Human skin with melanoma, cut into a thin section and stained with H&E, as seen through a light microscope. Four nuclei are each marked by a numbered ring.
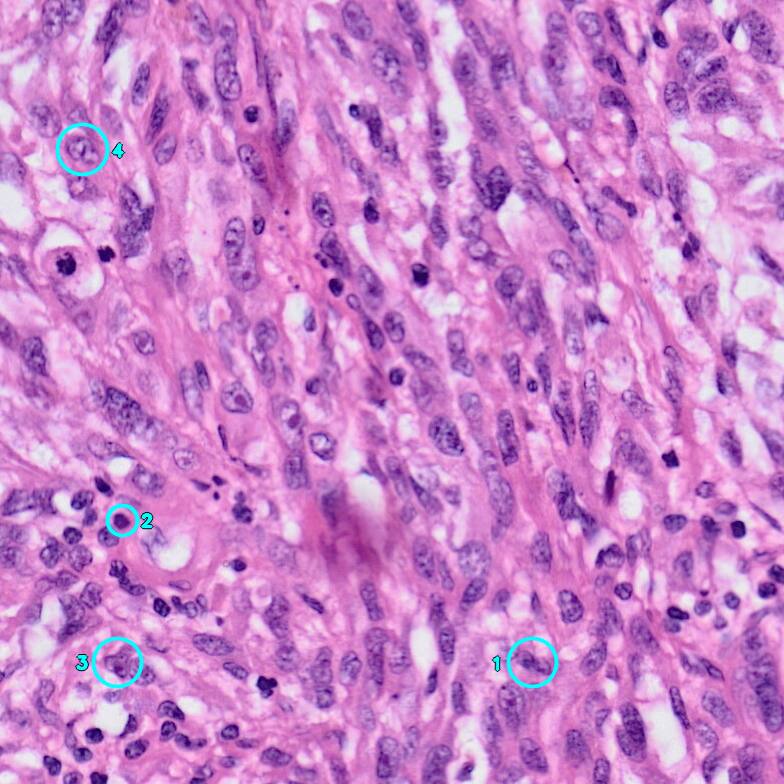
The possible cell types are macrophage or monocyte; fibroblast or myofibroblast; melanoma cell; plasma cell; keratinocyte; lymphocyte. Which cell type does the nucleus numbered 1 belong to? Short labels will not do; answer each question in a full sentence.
Cell number 1 in this section is a melanoma cell.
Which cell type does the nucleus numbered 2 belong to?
The cell assigned the number 2 is a lymphocyte.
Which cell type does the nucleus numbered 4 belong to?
Cell number 4 in this section is a melanoma cell.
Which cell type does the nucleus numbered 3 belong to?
In the marked set, the cell given number 3 is a melanoma cell.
